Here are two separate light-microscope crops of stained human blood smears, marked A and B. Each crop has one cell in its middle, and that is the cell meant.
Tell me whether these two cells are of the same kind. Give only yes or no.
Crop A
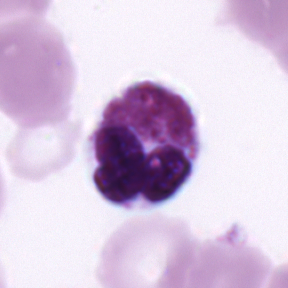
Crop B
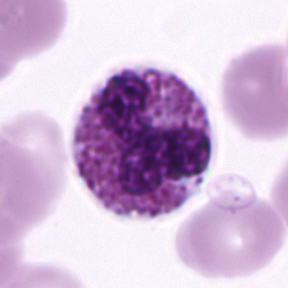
yes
